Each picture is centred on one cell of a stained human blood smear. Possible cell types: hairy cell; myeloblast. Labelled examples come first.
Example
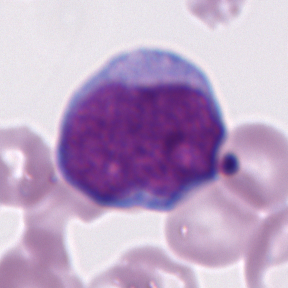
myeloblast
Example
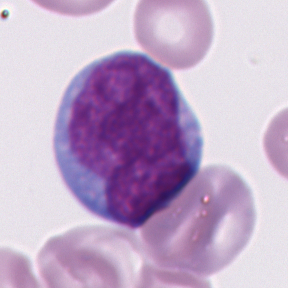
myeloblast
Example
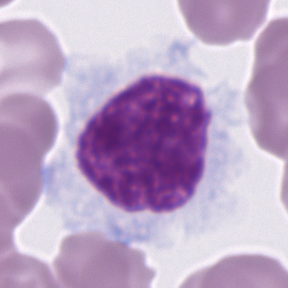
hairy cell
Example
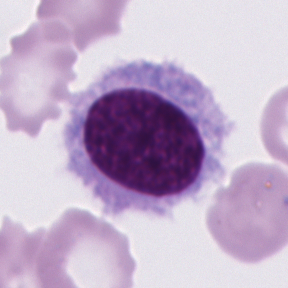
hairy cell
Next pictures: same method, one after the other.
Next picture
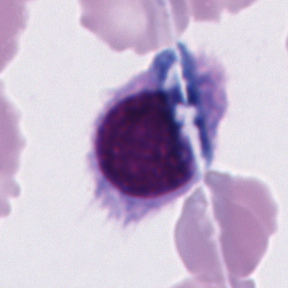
hairy cell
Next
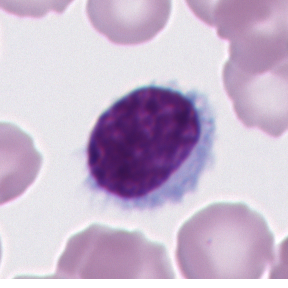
hairy cell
